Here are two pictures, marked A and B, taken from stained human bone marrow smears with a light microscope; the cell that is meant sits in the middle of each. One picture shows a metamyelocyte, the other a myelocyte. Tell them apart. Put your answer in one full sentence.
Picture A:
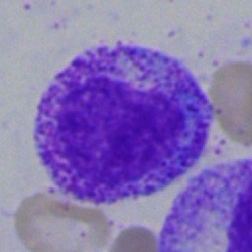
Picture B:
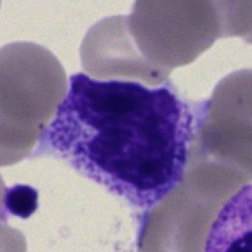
Picture A shows a myelocyte and picture B shows a metamyelocyte.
